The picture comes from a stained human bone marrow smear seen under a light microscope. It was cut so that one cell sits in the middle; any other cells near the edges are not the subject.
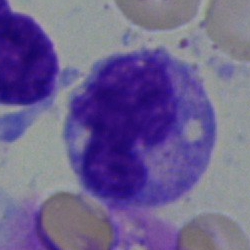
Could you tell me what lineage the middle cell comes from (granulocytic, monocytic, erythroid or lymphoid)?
monocytic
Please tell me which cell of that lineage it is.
monocyte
